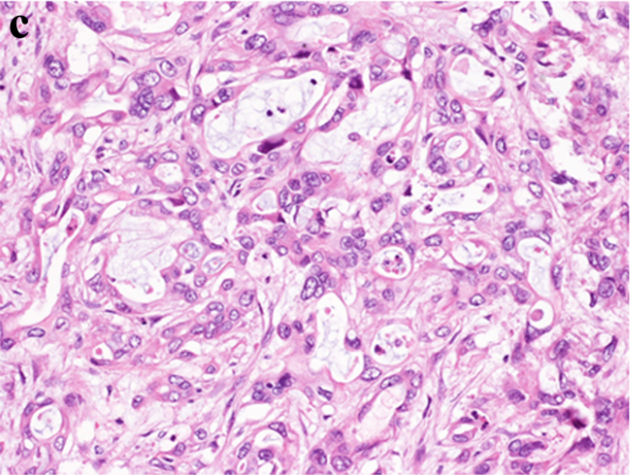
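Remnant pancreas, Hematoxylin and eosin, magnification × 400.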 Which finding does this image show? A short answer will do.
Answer: Well to moderately differentiated tubular adenocarcinoma.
